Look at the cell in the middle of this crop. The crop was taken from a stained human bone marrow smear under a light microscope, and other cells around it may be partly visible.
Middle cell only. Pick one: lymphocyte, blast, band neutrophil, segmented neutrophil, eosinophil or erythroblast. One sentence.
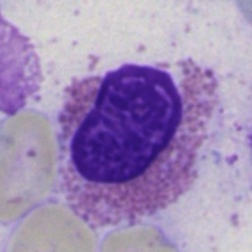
Standing at the centre of this crop is an eosinophil.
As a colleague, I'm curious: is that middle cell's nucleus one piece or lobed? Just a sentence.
The nuclear material is gathered into one compact round, oval or kidney-shaped mass.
